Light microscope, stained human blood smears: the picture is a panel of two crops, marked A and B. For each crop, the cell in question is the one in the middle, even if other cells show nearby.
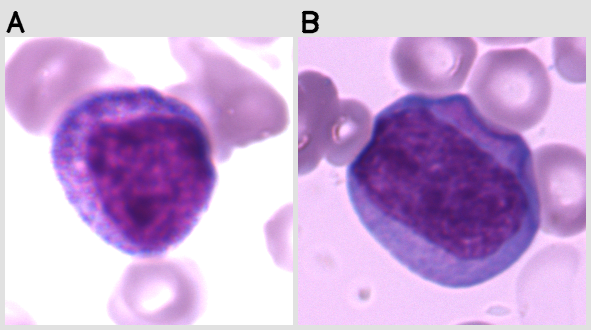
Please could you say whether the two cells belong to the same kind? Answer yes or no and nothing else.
yes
